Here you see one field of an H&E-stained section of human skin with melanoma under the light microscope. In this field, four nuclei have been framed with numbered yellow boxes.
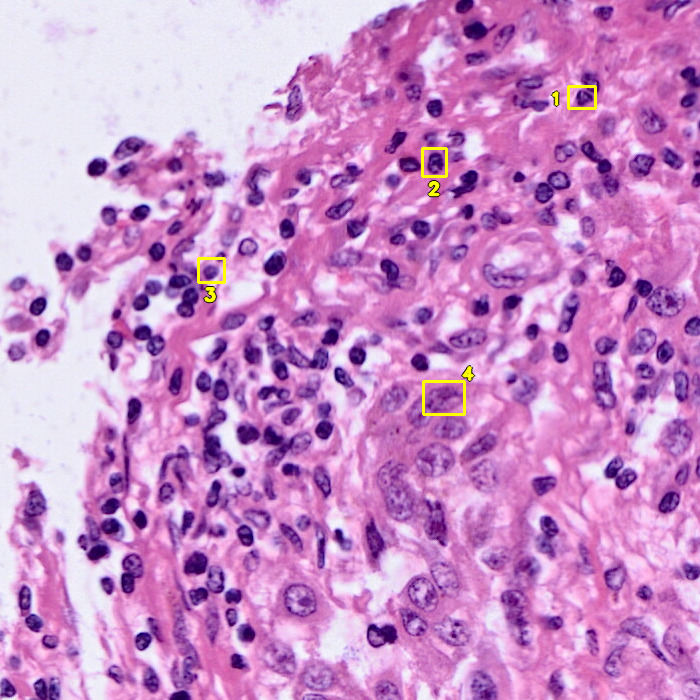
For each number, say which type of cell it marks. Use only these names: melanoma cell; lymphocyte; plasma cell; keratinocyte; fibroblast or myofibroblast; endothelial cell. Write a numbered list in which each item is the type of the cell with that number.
1. plasma cell
2. plasma cell
3. lymphocyte
4. melanoma cell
